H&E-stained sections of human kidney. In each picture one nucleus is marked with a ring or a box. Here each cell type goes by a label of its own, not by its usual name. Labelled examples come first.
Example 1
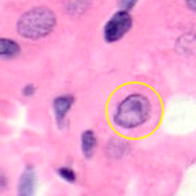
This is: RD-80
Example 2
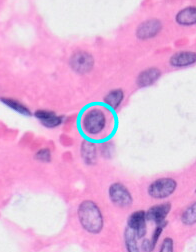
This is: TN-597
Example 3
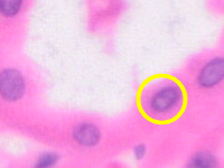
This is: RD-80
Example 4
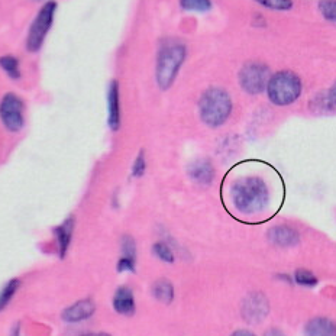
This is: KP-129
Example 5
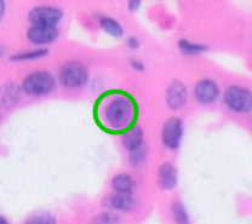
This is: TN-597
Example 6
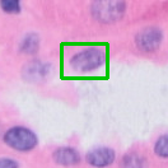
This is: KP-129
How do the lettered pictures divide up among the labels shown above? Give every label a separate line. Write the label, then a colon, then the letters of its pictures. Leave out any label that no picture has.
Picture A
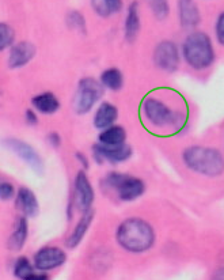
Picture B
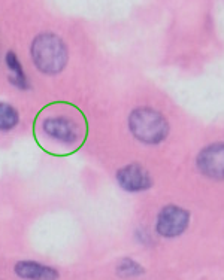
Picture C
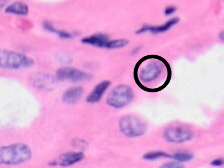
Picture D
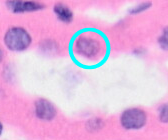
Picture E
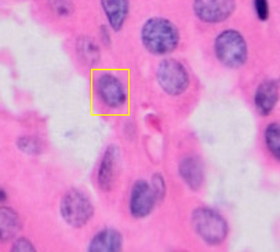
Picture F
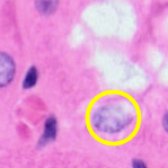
RD-80: F
TN-597: A
KP-129: B, C, D, E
